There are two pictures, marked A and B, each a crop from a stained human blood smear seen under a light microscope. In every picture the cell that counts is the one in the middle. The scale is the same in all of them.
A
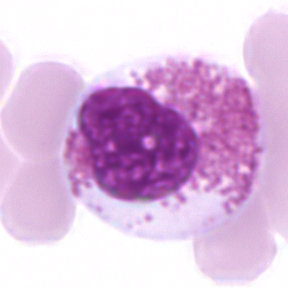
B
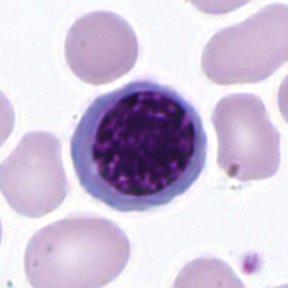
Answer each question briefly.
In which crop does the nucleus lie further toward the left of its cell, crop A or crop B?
A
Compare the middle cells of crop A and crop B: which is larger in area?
A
